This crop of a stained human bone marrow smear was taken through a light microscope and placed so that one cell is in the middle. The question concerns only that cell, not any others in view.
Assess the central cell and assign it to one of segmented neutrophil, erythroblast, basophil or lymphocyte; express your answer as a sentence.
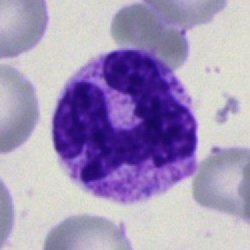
The cell of interest, in the center, is a segmented neutrophil.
